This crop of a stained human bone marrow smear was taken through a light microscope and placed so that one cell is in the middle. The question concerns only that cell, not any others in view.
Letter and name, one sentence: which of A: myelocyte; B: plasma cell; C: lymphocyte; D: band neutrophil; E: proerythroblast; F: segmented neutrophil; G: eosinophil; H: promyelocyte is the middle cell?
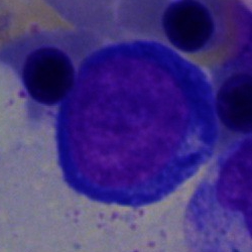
Identification: the cell in the middle is a proerythroblast, matching option E.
